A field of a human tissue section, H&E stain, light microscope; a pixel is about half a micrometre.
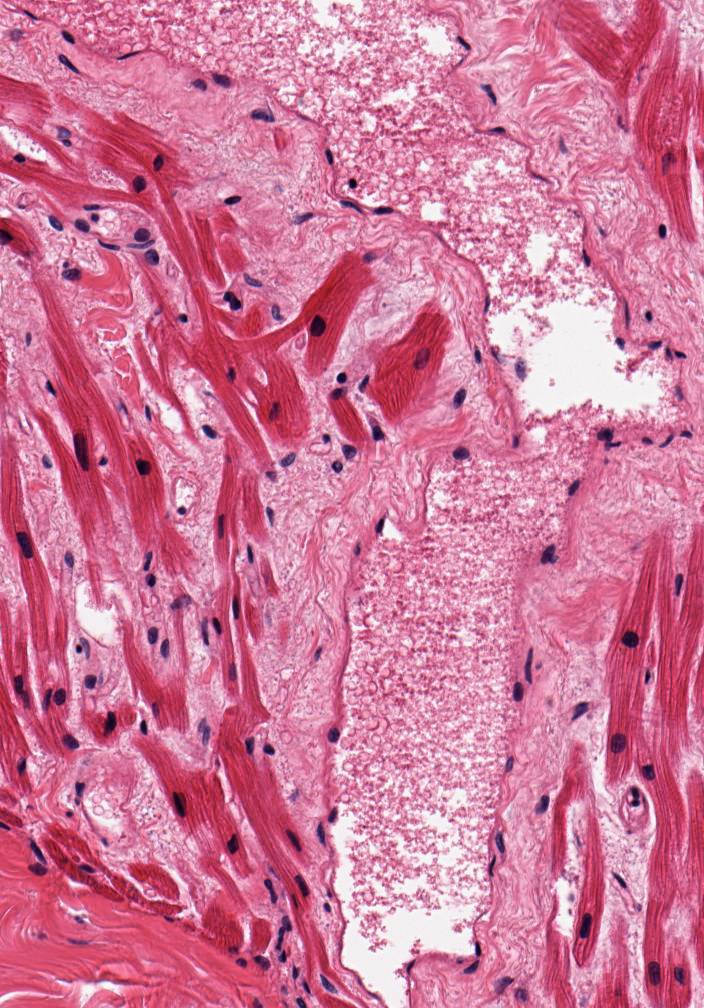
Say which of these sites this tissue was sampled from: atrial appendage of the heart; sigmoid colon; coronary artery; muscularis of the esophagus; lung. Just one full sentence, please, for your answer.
This material was sampled from the atrial appendage of the heart.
